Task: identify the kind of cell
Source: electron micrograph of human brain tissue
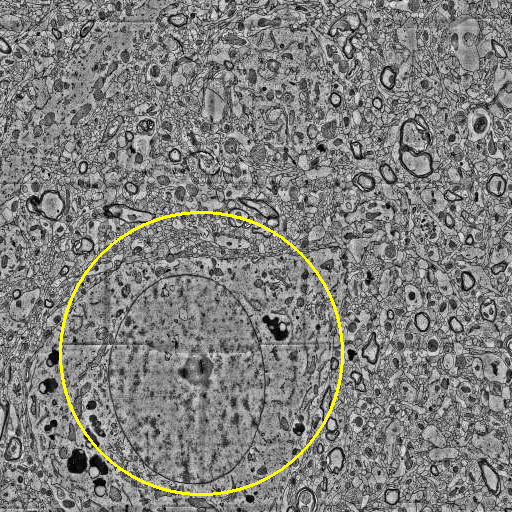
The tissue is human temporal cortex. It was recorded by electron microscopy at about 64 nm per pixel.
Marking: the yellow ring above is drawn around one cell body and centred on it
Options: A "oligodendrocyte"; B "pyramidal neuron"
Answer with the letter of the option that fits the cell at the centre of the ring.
B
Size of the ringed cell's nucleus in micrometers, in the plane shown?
In this plane the nucleus measures roughly 13 by 10 micrometers.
